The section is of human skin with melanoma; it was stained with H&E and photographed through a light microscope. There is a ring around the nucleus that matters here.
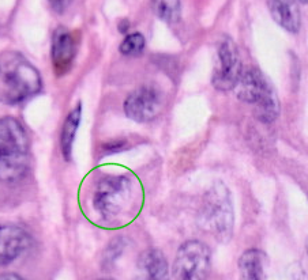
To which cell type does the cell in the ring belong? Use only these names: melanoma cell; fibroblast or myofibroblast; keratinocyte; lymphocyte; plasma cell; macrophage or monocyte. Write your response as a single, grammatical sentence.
What the cell in the ring represents is a melanoma cell.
